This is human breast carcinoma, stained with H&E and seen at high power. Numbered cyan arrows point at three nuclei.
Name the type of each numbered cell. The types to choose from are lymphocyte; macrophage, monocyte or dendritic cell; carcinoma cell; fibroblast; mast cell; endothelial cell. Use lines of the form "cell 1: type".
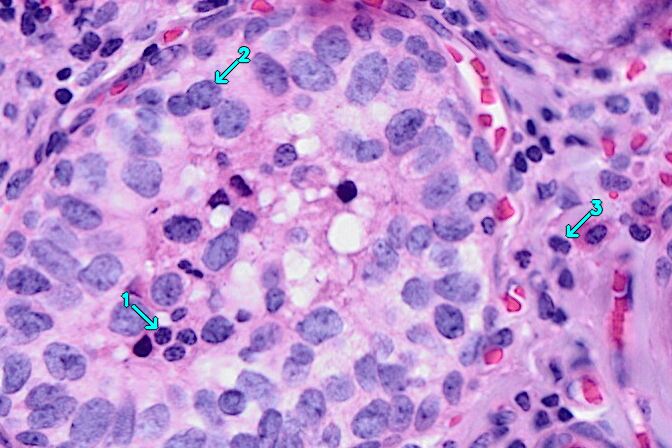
cell 1: lymphocyte
cell 2: carcinoma cell
cell 3: lymphocyte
